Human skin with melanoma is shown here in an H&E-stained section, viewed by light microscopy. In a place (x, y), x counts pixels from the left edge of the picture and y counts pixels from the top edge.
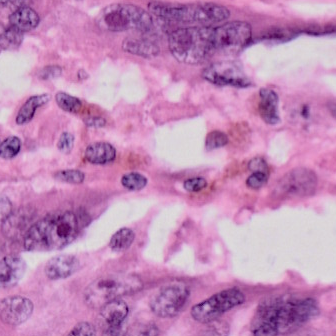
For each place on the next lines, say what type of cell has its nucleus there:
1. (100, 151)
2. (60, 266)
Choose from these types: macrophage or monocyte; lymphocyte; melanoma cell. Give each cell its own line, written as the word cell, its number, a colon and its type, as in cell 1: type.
cell 1: macrophage or monocyte
cell 2: melanoma cell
